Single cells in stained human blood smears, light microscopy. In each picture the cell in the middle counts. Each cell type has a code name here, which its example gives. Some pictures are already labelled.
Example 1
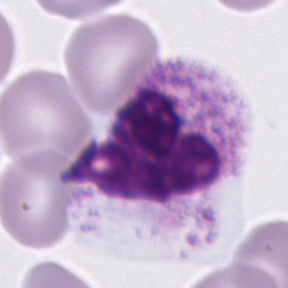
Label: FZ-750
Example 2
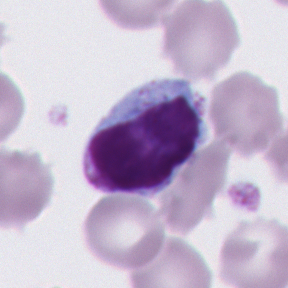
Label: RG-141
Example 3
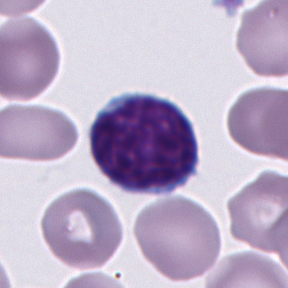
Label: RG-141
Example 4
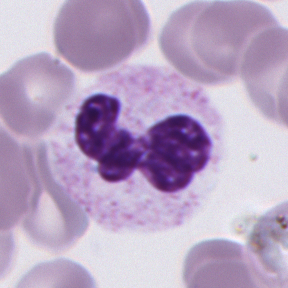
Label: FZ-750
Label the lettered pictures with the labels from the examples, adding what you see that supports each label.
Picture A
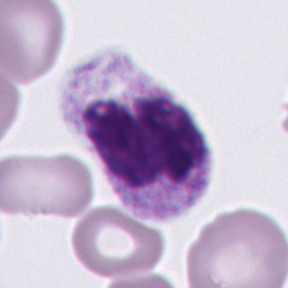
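FZ-750: The cytoplasm is plentiful and pale lilac.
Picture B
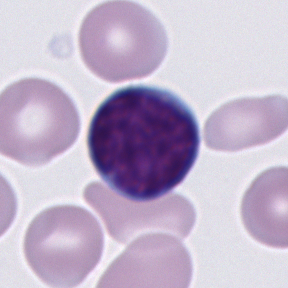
RG-141: The cytoplasm forms only a very thin rim around the nucleus.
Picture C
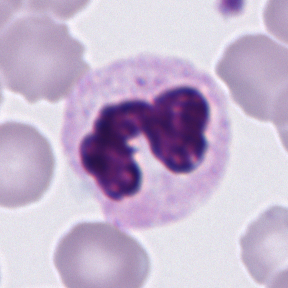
FZ-750: The nucleus has two broad lobes joined by a thick strand.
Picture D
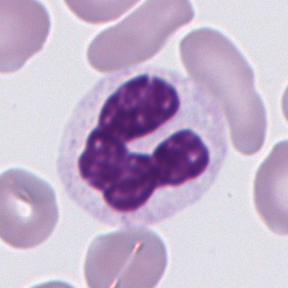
FZ-750: The nucleus forms a curved chain of connected lobes that opens toward the right.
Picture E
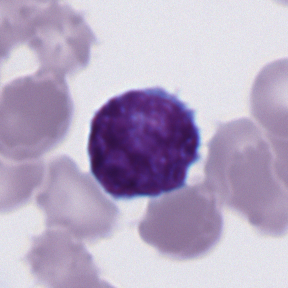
RG-141: Cytoplasm shows only as a very thin rim, seen mainly along the upper right edge.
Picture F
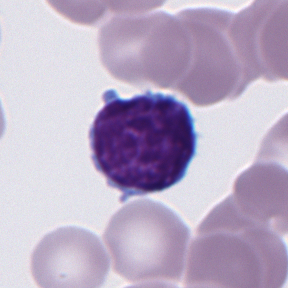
RG-141: The cytoplasm shows only as a thin rim around the nucleus.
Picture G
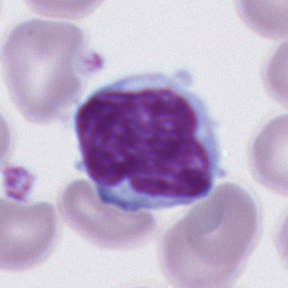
RG-141: The cytoplasm forms a narrow rim that is widest below the nucleus.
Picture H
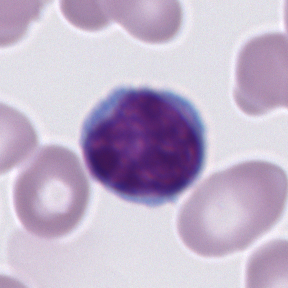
RG-141: The cytoplasm forms only a thin rim around the nucleus.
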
